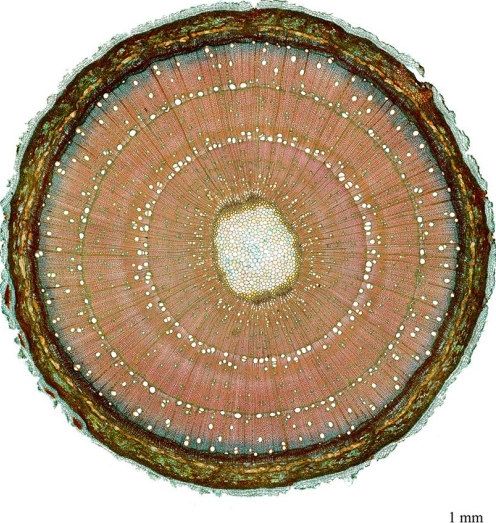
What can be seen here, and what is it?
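This is a cross-section of a woody stem, with a central pith of large, pale, thin-walled rounded cells surrounded by a broad ring of pink-red stained xylem. The xylem is crossed by fine radial rays and contains round, white open vessels that cluster in concentric bands. Outside the xylem lies a thin bluish zone and then a thick dark brown bark with a ragged outer edge.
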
